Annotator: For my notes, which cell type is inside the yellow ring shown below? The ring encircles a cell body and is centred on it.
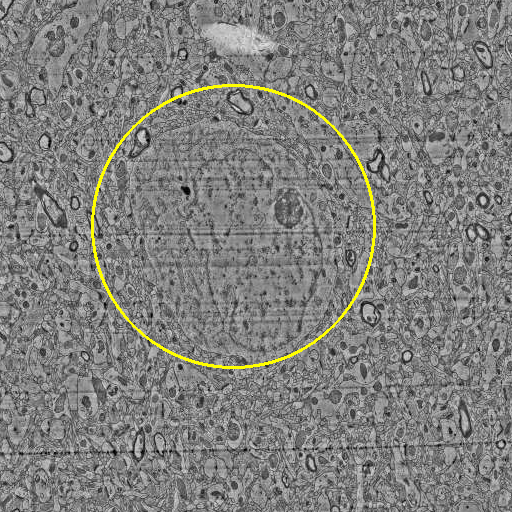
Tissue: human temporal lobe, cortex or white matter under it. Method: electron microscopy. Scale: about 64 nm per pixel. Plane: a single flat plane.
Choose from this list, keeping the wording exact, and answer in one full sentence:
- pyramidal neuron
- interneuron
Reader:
At the centre of the yellow ring there is an interneuron, as shown in the picture.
